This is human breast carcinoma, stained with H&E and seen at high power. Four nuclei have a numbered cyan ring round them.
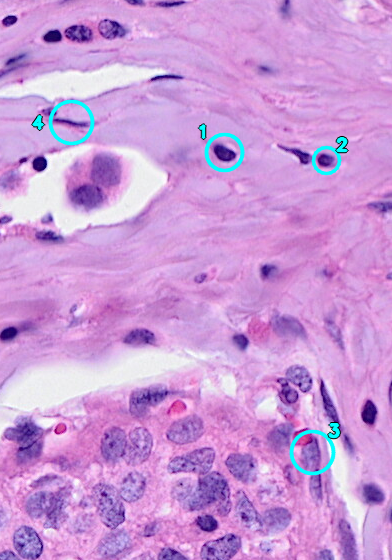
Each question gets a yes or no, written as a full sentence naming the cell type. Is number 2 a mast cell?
Yes, cell 2 among the marked cells is a mast cell.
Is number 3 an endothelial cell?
Yes, an endothelial cell is what the cell numbered 3 is.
